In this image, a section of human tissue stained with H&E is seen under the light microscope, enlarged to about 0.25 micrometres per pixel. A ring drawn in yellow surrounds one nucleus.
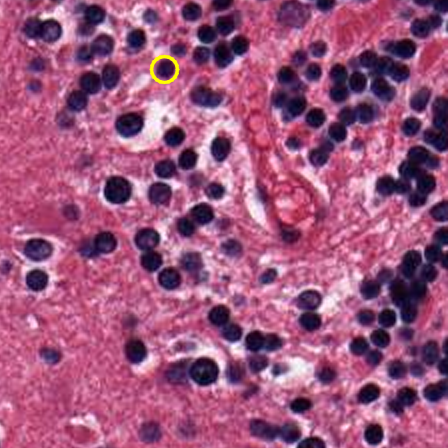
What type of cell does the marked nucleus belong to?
cerebellar granule cell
